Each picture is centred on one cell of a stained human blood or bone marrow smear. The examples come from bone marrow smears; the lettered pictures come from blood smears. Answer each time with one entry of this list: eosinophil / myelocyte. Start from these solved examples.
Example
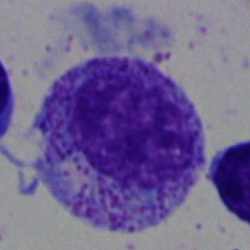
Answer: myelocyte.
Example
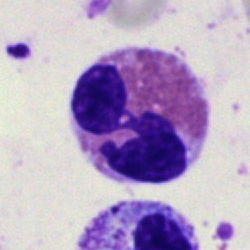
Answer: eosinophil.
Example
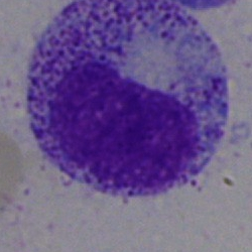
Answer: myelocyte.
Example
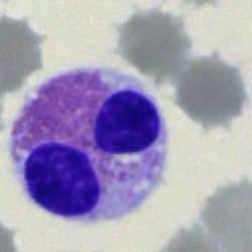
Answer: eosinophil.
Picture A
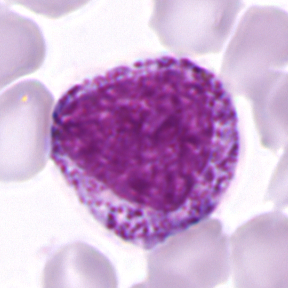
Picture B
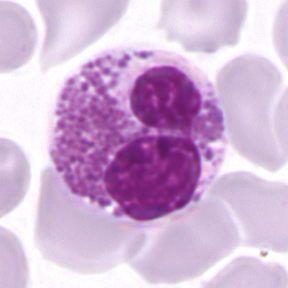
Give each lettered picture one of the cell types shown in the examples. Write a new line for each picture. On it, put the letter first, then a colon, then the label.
A: myelocyte.
B: eosinophil.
